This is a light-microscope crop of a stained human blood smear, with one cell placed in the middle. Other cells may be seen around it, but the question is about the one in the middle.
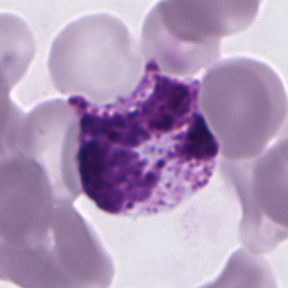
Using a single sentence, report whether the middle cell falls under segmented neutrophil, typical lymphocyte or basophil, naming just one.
By classification, the middle cell of this crop is a basophil.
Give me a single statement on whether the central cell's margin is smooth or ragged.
Rather than running smoothly, the cell border is ragged or carries projections.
